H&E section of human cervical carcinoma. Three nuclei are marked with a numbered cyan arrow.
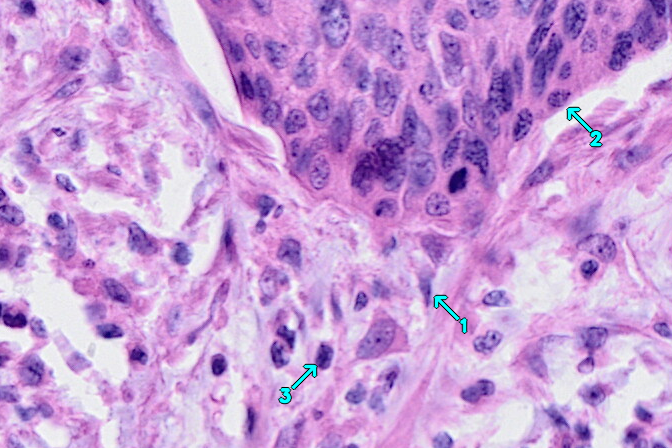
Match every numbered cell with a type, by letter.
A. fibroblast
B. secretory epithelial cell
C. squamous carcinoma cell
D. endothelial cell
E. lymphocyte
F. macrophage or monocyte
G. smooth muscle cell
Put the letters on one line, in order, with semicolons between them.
A; C; E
